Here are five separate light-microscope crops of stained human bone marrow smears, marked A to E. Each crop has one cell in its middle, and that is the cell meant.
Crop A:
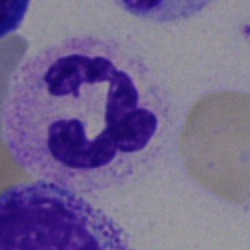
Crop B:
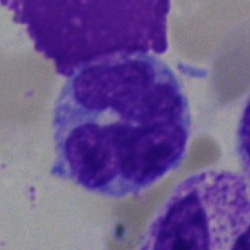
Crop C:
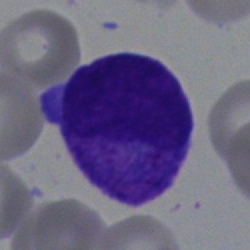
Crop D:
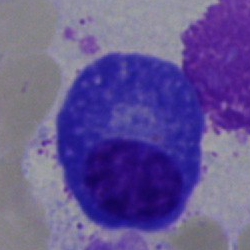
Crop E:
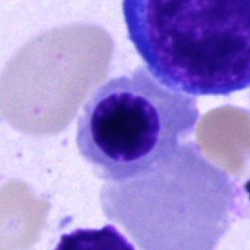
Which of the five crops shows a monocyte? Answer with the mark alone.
B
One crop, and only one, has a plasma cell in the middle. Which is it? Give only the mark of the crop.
D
